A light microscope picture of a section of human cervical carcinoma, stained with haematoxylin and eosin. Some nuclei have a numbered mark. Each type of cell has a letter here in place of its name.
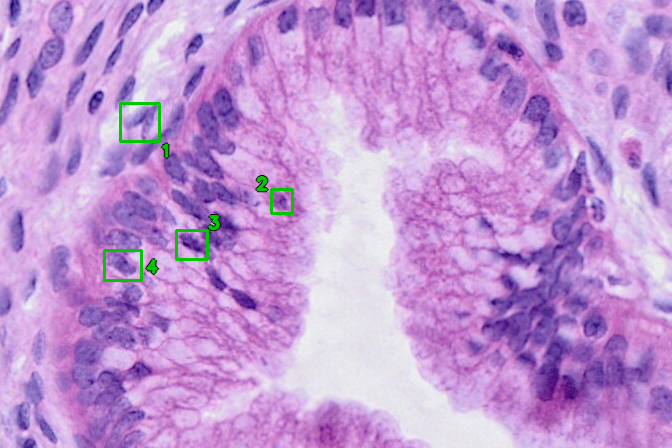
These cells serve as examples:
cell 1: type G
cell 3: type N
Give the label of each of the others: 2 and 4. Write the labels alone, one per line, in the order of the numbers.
type N
type N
